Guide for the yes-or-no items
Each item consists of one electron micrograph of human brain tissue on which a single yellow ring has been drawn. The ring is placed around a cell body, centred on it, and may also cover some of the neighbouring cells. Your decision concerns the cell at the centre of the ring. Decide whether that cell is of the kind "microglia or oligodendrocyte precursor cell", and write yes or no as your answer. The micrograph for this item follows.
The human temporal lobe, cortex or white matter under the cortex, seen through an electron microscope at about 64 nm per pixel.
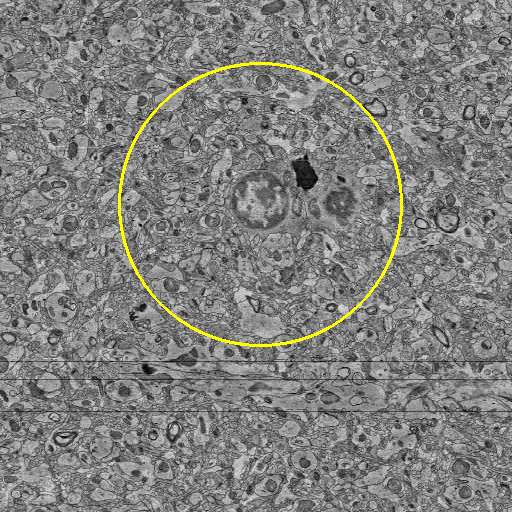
no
